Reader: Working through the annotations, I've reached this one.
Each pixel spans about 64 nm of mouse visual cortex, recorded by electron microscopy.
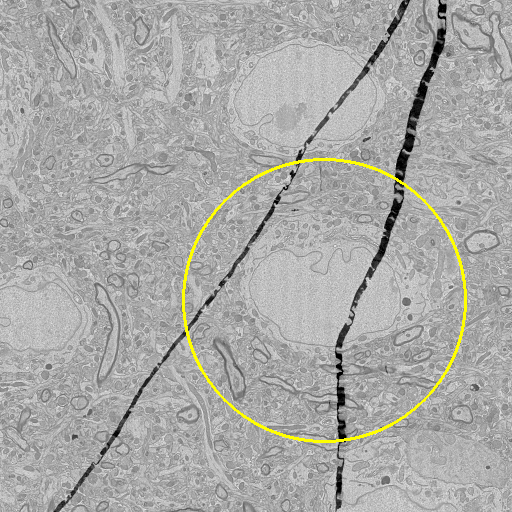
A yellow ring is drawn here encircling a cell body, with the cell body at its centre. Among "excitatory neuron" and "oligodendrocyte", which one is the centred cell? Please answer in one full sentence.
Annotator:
The cell body at the centre of the yellow ring in this image belongs to an excitatory neuron.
